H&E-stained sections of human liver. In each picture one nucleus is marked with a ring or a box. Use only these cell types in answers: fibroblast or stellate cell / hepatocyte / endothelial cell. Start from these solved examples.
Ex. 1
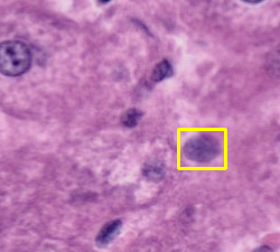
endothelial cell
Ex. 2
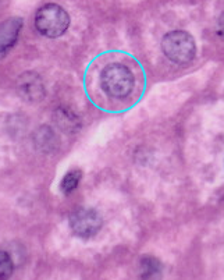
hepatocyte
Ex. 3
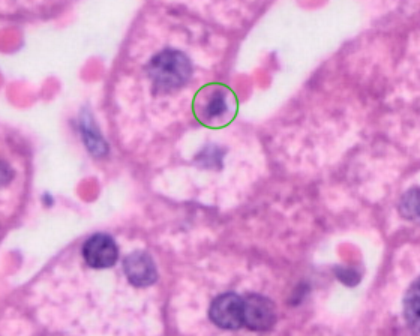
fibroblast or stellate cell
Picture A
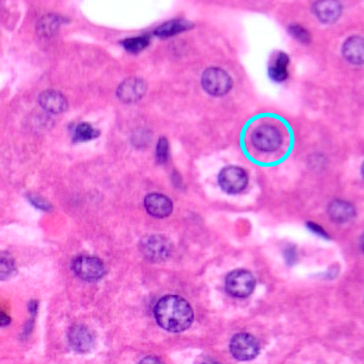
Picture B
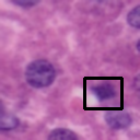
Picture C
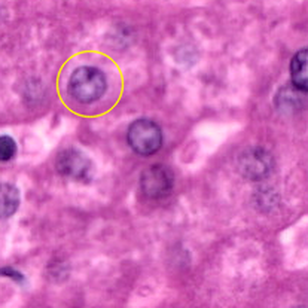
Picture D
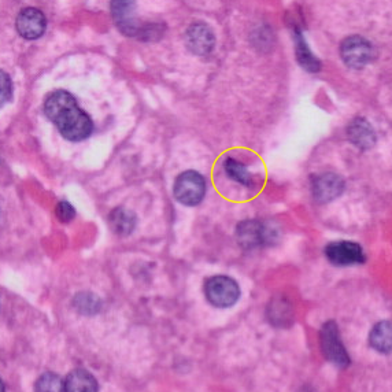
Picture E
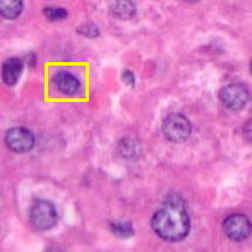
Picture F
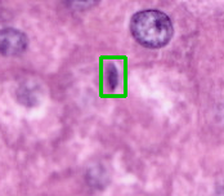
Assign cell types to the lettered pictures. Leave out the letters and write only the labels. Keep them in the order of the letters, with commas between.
hepatocyte, endothelial cell, hepatocyte, fibroblast or stellate cell, fibroblast or stellate cell, endothelial cell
